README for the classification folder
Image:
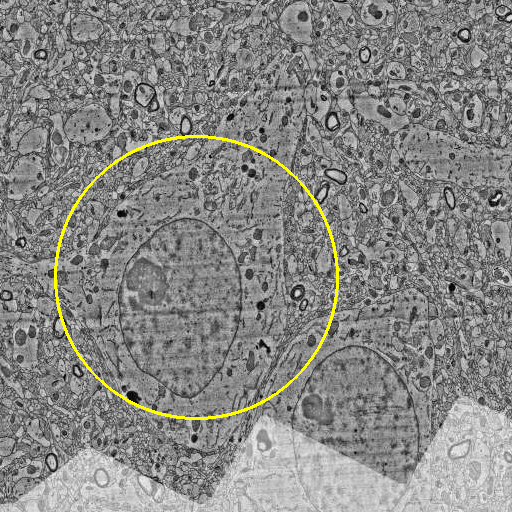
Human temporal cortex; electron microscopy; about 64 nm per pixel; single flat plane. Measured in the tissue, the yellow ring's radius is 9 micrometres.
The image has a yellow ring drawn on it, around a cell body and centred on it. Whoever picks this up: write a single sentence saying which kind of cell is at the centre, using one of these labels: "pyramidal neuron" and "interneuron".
This cell body is that of a pyramidal neuron.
